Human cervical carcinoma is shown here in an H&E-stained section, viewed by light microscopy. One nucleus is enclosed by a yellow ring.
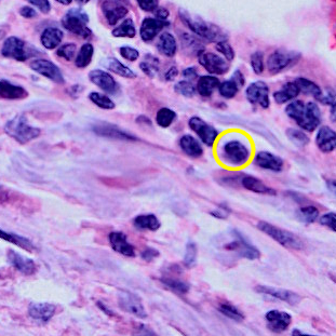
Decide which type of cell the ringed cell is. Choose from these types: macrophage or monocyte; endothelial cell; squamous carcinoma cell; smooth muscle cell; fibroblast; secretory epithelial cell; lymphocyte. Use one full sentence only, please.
In short, the ringed cell on this section is a lymphocyte.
